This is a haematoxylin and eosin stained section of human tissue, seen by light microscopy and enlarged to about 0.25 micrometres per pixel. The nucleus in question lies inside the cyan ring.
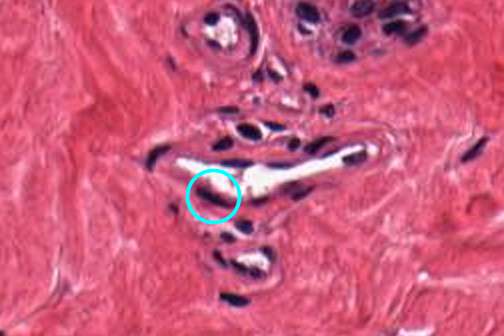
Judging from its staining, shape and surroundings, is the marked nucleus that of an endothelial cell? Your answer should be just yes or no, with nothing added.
yes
